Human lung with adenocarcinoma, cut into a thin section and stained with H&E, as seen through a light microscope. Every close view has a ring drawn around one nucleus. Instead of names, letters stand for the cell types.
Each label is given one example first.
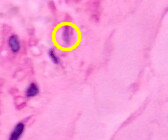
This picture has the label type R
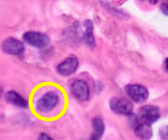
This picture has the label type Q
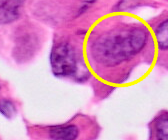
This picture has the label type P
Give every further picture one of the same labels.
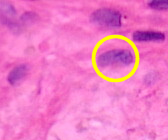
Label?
type R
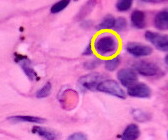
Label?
type Q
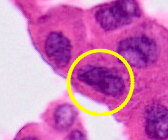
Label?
type P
